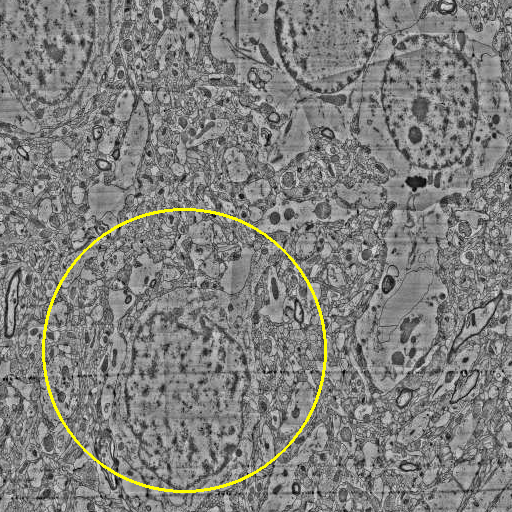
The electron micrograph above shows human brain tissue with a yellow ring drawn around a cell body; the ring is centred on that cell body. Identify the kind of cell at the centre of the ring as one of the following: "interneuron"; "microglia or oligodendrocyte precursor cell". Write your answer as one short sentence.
The cell at the centre of the ring is an interneuron.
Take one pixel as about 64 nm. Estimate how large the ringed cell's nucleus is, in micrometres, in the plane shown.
Approximately 11 micrometres long and 8 micrometres wide, in this plane.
